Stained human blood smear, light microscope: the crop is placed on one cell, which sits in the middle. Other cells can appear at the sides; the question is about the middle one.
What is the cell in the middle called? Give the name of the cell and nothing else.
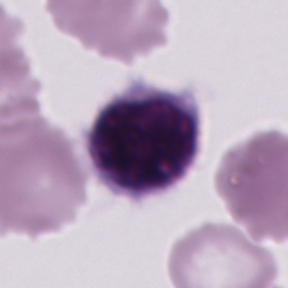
hairy cell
